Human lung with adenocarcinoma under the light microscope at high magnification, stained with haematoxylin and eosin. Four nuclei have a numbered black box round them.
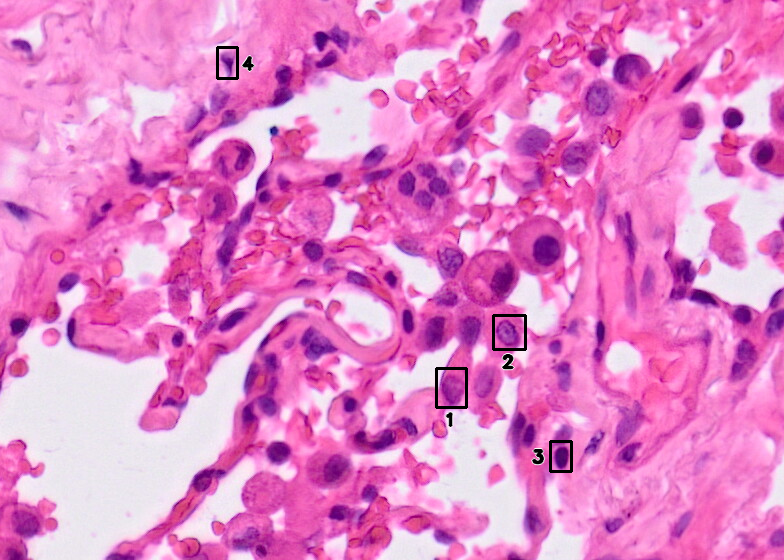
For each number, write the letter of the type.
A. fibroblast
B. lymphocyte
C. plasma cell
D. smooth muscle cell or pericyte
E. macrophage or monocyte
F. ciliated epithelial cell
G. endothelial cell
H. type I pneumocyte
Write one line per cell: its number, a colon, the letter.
1: E
2: E
3: B
4: A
